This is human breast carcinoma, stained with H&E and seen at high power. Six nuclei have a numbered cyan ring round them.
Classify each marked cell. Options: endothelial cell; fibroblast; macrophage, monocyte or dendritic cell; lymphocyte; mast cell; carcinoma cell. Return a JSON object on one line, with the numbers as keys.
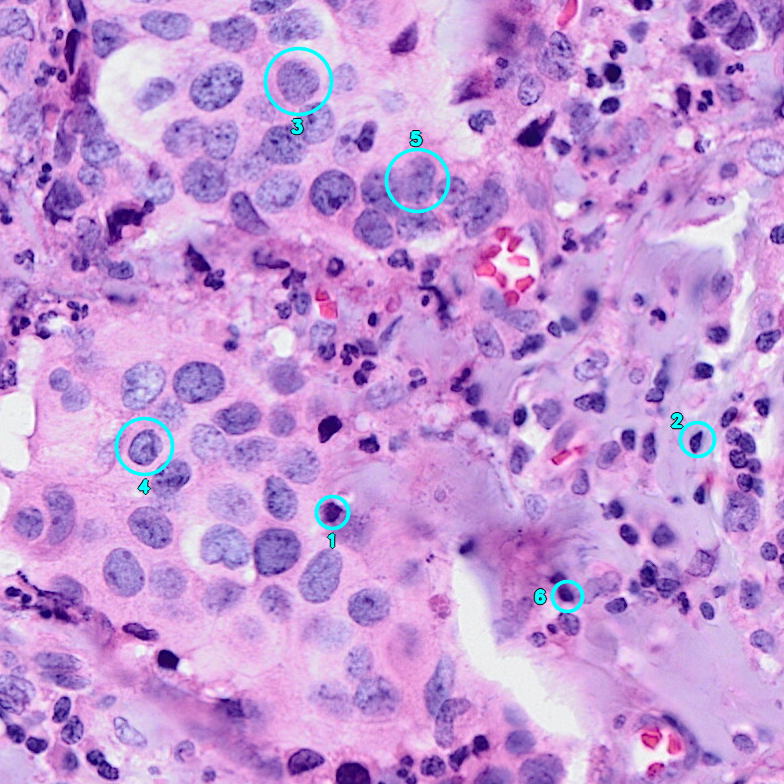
{"1": "carcinoma cell", "2": "lymphocyte", "3": "carcinoma cell", "4": "carcinoma cell", "5": "carcinoma cell", "6": "lymphocyte"}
